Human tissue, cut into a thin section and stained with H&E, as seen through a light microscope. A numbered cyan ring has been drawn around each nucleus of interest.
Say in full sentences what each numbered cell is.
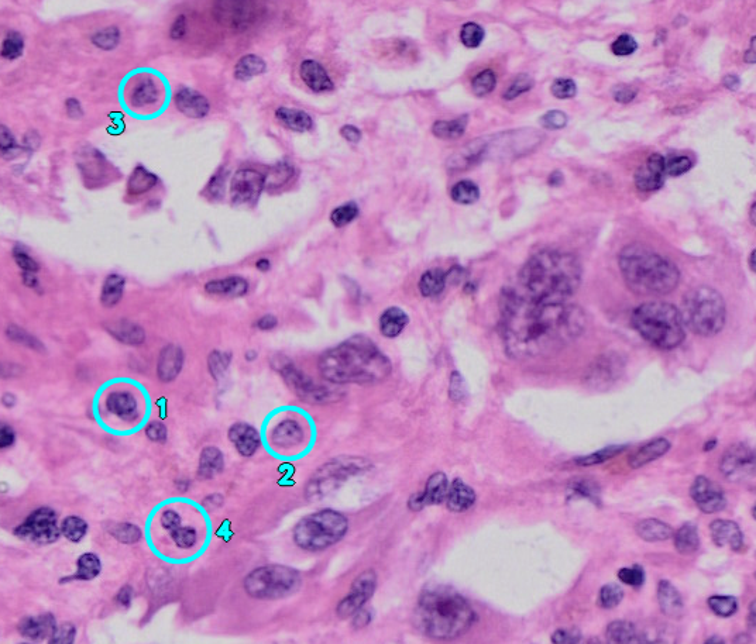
Cells 1 and 4 are lymphocytes. Cells 2 and 3 are macrophages or monocytes.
